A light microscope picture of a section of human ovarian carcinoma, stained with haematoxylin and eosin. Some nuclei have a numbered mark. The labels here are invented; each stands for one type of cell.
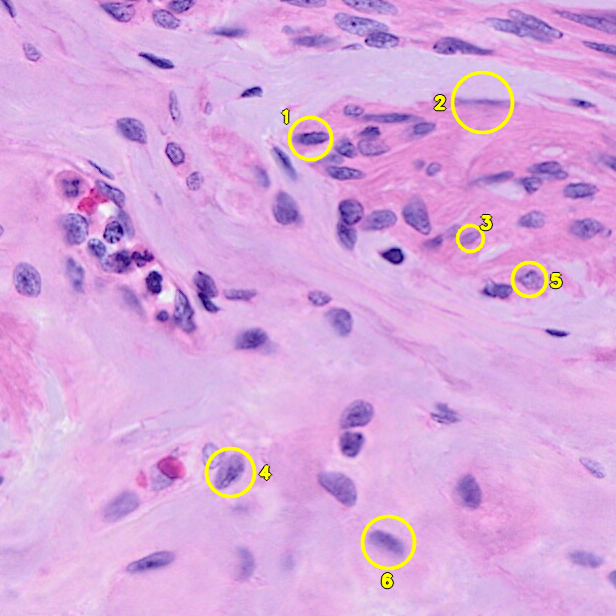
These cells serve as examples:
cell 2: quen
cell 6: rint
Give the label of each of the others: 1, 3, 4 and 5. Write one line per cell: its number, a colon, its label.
1: quen
3: quen
4: rint
5: quen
